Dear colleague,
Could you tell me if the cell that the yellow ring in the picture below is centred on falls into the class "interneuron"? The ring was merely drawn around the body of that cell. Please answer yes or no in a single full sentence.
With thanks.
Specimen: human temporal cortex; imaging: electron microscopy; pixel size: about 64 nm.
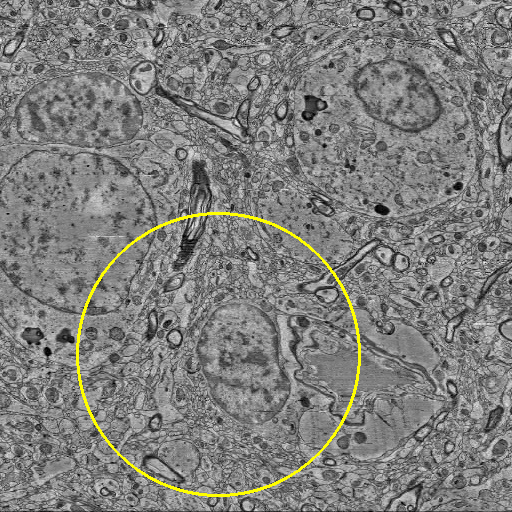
No, the cell on which the ring in your picture is centred falls into a different class.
